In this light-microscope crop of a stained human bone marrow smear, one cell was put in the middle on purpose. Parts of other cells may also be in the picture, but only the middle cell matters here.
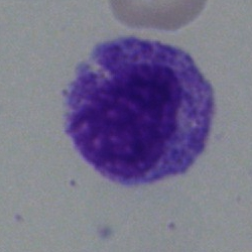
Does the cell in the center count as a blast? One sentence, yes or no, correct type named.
No, the cell in the centre is a myelocyte instead of a blast.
